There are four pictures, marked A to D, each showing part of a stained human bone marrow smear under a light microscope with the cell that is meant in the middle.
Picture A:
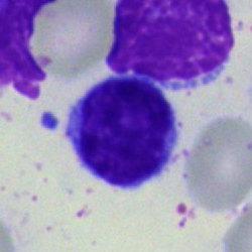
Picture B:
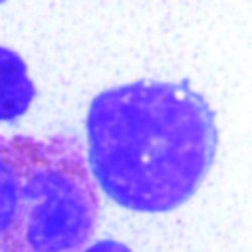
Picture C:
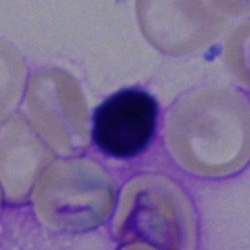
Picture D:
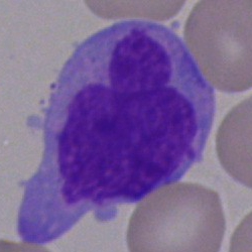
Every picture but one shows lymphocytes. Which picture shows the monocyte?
D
